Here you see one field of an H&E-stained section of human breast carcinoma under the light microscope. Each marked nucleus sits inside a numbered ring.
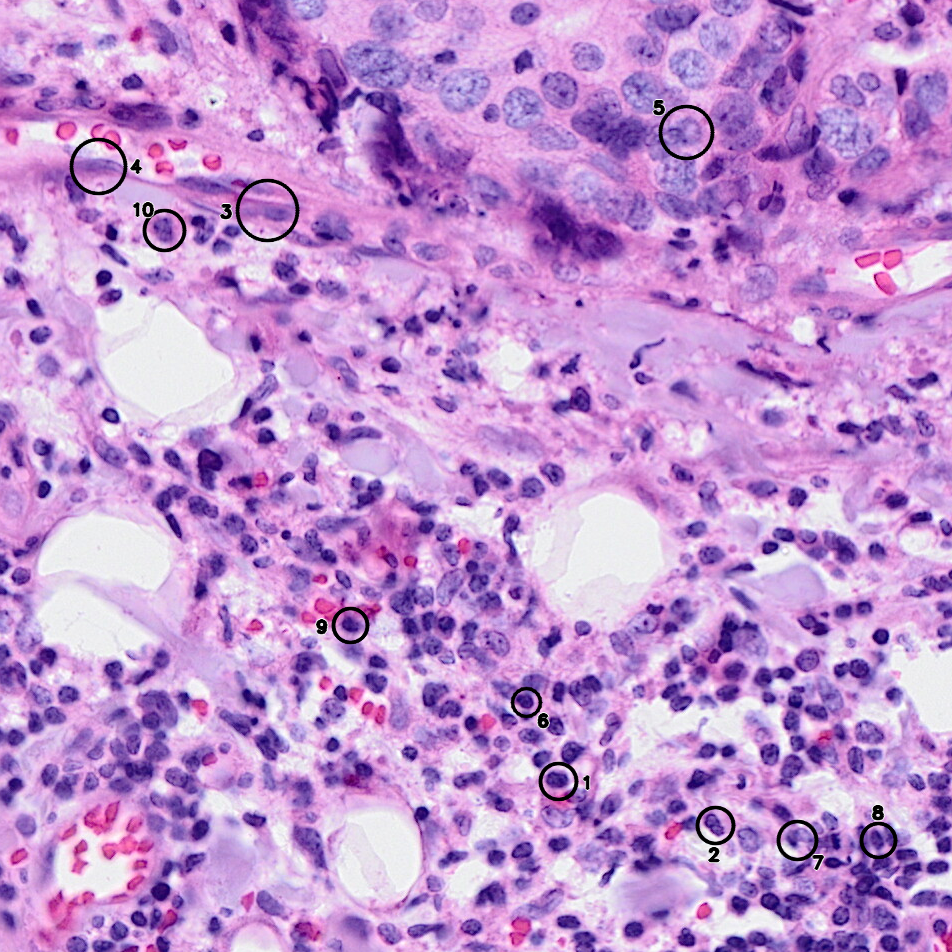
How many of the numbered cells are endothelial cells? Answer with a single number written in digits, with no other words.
2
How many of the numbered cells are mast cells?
1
